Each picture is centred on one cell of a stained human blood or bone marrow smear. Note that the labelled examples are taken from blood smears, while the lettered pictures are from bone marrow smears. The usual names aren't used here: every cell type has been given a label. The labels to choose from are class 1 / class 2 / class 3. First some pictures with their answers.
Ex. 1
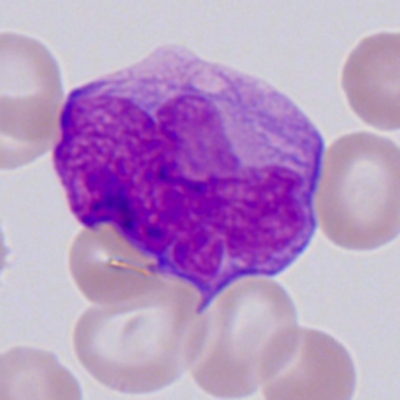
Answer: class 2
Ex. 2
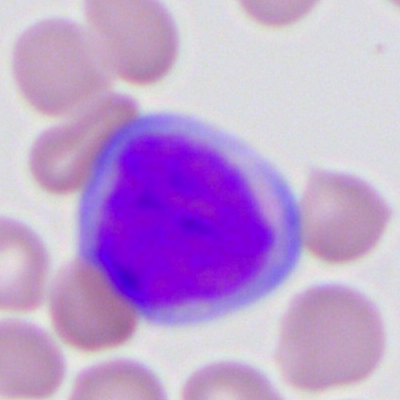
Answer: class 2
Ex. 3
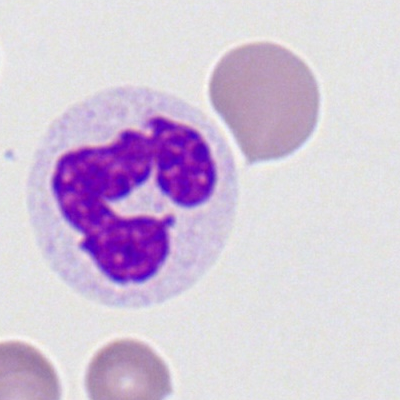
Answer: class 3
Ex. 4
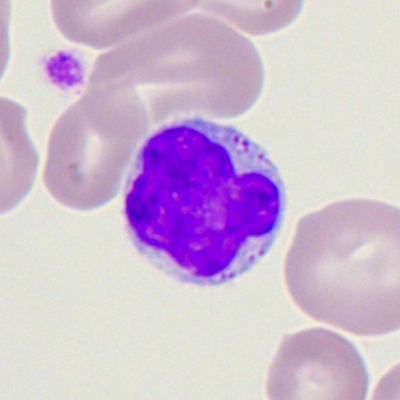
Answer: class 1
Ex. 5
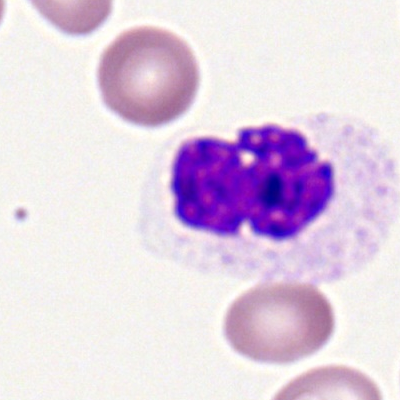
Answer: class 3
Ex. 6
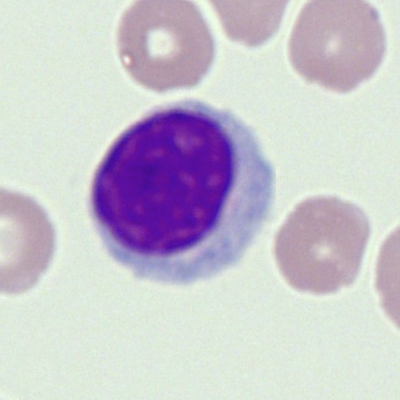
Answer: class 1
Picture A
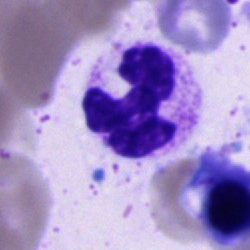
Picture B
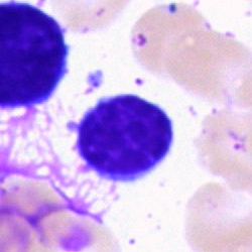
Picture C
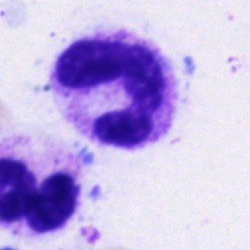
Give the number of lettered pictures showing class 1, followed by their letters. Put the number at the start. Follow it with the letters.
1, namely B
